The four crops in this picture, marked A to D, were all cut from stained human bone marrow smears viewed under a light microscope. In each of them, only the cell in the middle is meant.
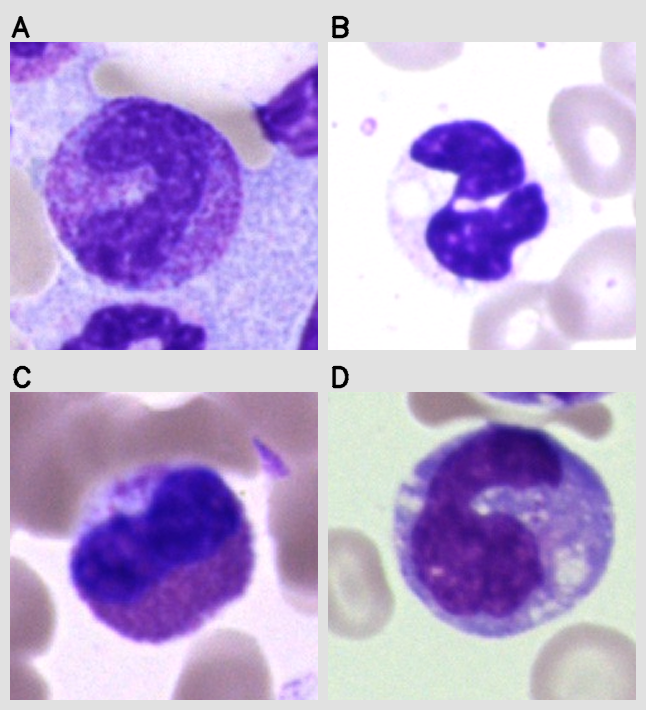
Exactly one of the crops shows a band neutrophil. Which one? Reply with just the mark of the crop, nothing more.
A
